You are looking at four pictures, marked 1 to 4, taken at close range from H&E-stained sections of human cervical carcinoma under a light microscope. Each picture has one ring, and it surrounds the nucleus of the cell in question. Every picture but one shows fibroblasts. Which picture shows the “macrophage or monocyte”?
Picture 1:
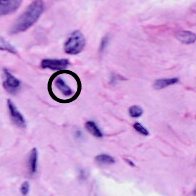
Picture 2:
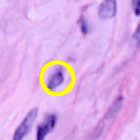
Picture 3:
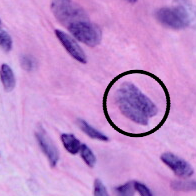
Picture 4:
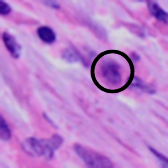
4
